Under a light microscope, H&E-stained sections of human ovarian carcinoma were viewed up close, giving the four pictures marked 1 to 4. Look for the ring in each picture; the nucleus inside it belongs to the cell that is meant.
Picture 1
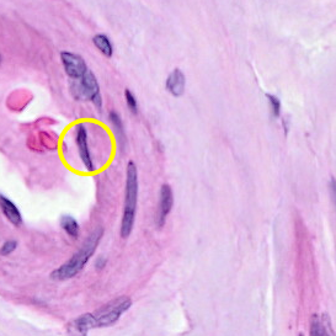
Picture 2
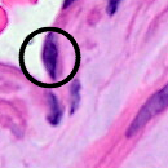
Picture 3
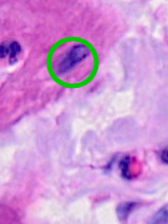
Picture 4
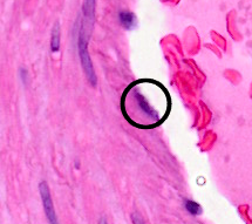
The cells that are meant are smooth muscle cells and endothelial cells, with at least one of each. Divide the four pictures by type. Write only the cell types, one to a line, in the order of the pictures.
endothelial cell
endothelial cell
smooth muscle cell
endothelial cell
